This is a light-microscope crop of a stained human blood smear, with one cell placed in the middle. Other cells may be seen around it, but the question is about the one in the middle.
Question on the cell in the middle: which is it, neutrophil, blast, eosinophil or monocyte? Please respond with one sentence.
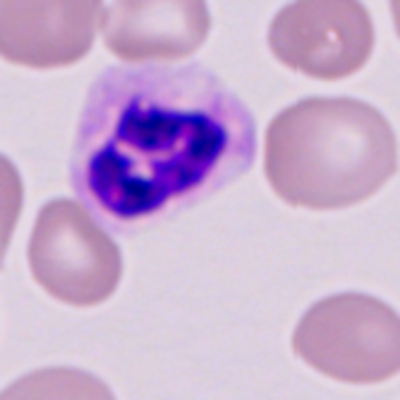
At the crop's centre, the cell is a neutrophil.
